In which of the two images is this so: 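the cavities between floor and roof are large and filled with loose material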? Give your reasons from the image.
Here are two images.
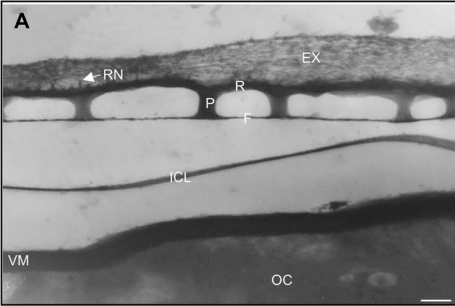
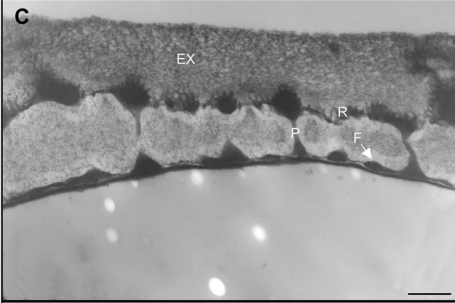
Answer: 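Second image: big irregular cavities filled with grey granular material. First image: regular cavities appear empty and pale.
Answer: the second image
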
